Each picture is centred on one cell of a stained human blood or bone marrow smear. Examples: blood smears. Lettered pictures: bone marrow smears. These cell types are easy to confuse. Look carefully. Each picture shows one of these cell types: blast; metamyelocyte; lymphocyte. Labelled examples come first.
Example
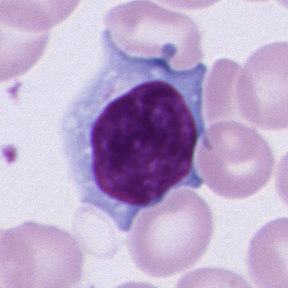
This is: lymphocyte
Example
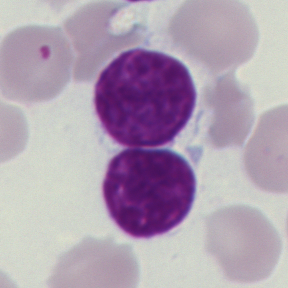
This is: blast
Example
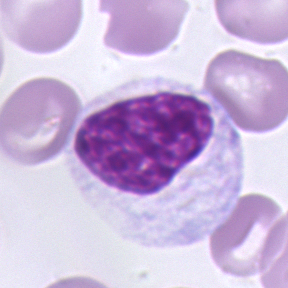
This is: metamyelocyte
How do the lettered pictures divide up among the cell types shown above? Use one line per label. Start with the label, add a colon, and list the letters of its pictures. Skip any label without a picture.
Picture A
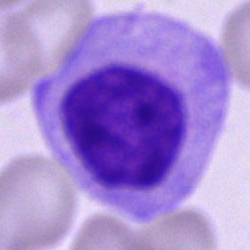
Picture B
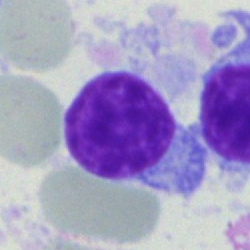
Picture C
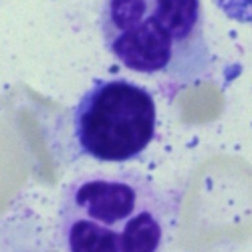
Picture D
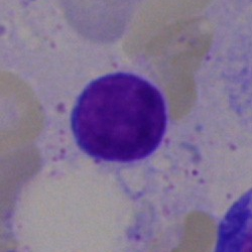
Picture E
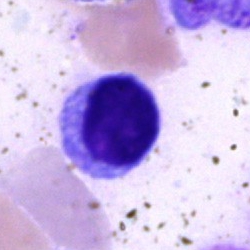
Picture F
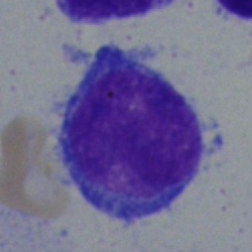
blast: F
metamyelocyte: A
lymphocyte: B, C, D, E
